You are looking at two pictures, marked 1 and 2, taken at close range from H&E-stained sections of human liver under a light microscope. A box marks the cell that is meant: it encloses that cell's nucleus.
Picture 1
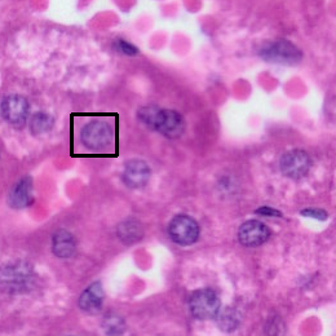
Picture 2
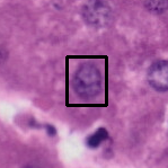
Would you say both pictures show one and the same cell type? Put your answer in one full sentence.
Yes, both are hepatocytes.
